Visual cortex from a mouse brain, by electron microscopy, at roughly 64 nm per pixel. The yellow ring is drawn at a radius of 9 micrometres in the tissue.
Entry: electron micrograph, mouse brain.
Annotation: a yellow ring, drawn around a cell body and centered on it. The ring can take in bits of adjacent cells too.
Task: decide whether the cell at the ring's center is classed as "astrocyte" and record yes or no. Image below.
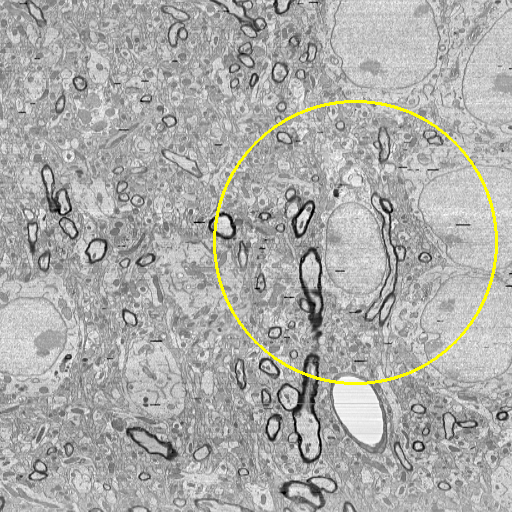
yes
